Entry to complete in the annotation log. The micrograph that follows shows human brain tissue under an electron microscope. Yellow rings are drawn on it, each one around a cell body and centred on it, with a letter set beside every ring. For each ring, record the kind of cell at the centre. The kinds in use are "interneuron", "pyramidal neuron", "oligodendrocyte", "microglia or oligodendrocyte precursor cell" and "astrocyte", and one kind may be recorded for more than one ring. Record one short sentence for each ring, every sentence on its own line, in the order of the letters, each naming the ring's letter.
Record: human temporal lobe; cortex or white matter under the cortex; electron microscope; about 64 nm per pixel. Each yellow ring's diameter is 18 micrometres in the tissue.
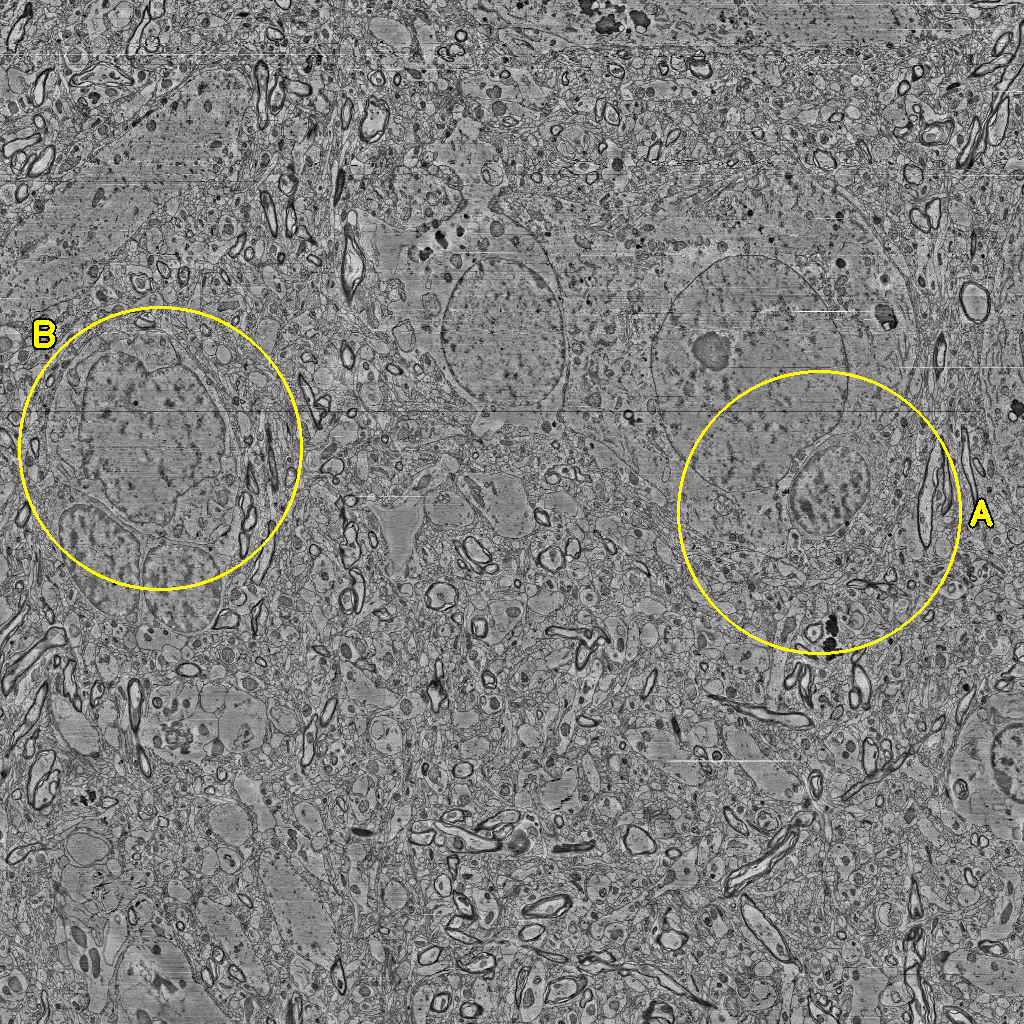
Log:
Ring A is placed around an oligodendrocyte.
Ring B is placed around an interneuron.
